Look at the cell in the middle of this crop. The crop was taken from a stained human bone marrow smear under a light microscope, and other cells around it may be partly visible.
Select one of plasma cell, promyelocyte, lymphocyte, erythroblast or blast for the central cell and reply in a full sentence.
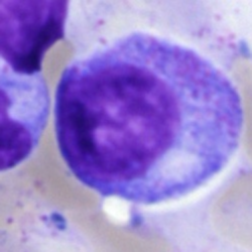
The cell around which this crop is centred is a promyelocyte.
